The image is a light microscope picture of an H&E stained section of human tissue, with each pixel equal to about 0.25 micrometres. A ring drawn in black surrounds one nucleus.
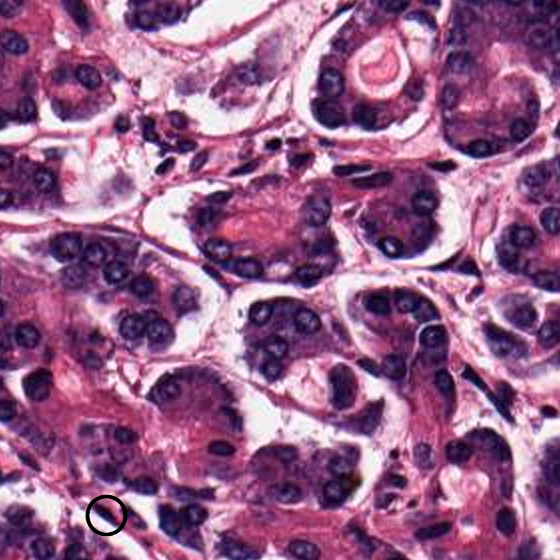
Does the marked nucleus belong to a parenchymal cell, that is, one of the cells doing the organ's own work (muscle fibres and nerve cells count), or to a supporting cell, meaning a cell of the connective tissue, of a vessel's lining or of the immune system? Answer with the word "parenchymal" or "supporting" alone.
supporting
